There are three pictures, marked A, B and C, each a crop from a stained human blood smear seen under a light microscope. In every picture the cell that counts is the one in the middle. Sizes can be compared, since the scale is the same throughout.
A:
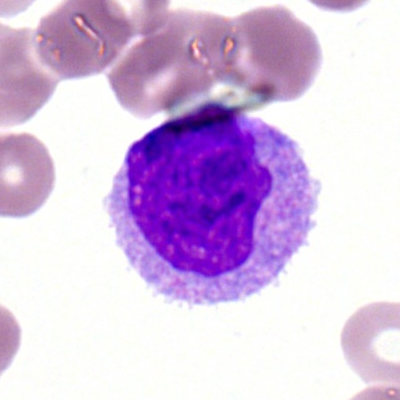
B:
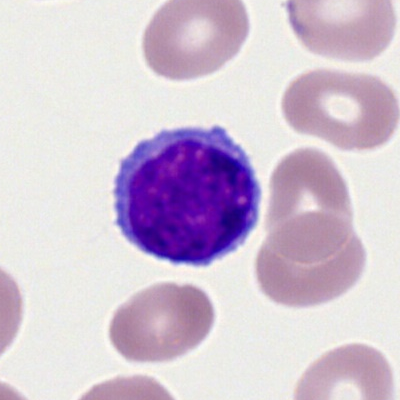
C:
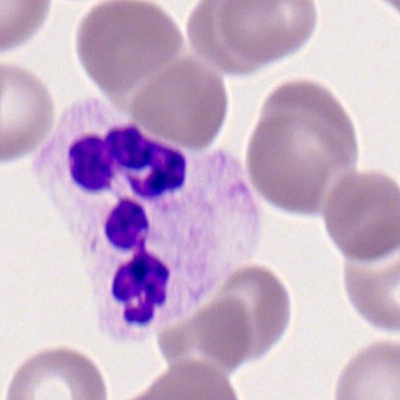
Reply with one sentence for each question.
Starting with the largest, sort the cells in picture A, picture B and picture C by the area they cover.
From the largest down, the order is A, B, C.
